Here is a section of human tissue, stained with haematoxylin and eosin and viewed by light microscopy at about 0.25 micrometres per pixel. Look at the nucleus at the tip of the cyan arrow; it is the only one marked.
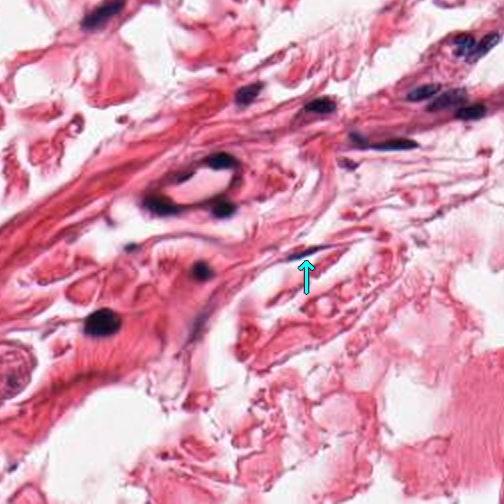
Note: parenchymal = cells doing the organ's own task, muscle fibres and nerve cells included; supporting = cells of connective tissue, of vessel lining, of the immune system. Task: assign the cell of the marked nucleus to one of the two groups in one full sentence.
The marked nucleus is classified as belonging to a supporting cell.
